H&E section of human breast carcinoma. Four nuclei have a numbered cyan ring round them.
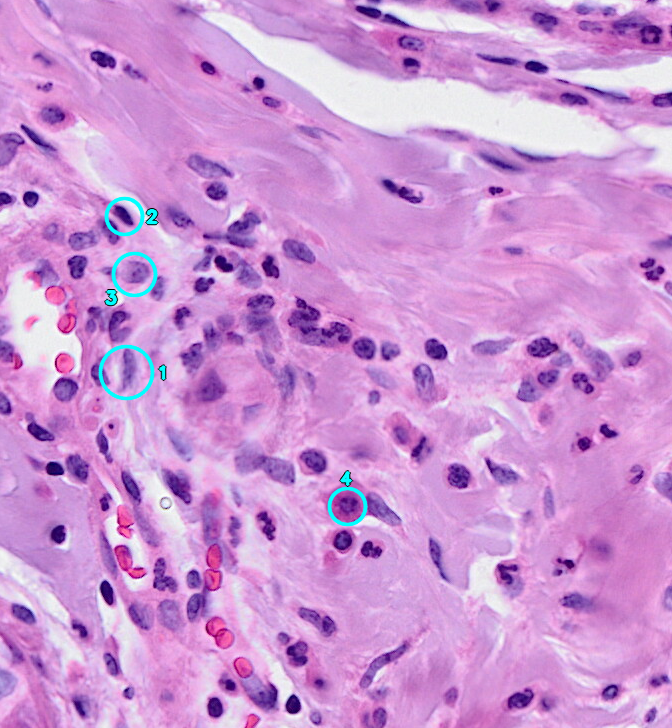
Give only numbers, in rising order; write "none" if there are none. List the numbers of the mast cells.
4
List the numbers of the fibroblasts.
1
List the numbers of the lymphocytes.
2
